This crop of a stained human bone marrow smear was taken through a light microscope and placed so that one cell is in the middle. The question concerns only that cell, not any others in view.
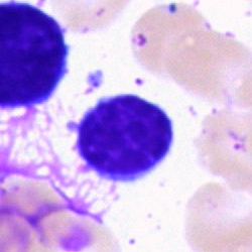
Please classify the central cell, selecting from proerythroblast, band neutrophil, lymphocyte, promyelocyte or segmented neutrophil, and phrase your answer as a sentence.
This crop's central cell is a lymphocyte.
